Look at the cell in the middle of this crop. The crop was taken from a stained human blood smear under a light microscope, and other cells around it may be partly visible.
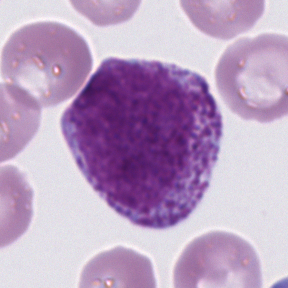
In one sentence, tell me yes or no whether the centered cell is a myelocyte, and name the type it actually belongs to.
Yes, within this crop, the central cell is a myelocyte.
